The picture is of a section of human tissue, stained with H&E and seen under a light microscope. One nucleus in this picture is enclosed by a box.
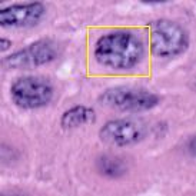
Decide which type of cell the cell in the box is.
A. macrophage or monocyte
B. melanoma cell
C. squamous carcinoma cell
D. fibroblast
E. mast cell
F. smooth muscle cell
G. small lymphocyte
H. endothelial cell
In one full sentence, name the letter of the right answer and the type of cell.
The right option is C, the cell in the box being a squamous carcinoma cell.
